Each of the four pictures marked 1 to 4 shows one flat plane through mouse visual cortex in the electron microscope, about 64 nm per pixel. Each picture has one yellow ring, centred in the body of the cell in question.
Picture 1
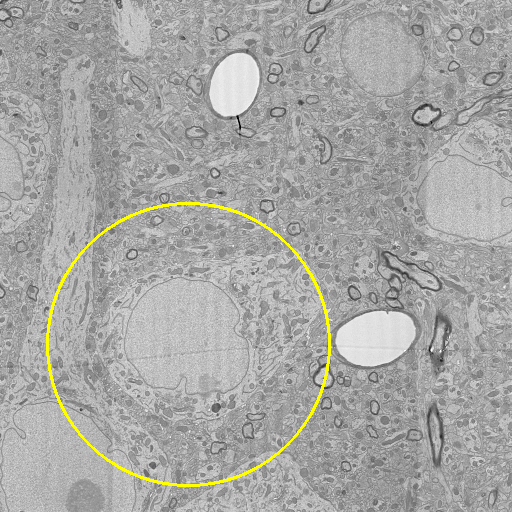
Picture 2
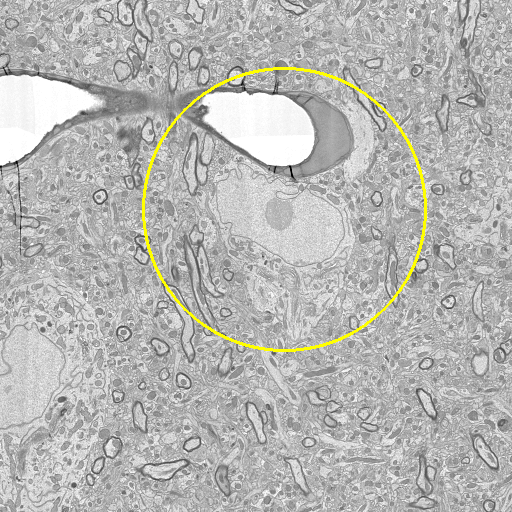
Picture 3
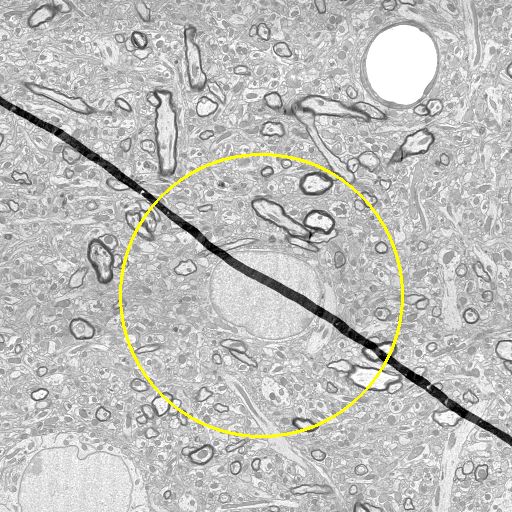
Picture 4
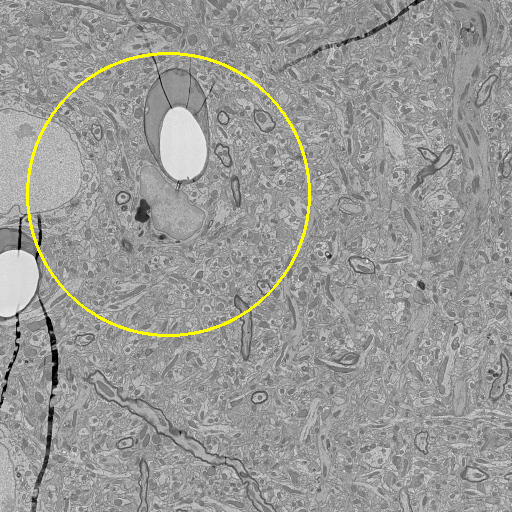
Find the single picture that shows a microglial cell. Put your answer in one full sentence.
It is picture 4 that shows the microglial cell.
